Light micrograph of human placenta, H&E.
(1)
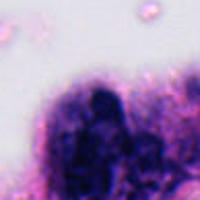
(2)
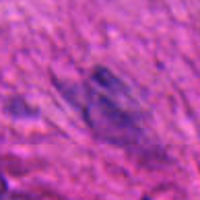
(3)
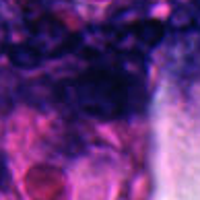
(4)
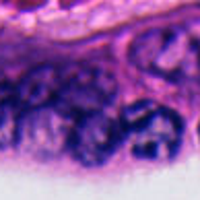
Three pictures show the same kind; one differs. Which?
Picture 2: a vascular myocyte, while the others are syncytial knots.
